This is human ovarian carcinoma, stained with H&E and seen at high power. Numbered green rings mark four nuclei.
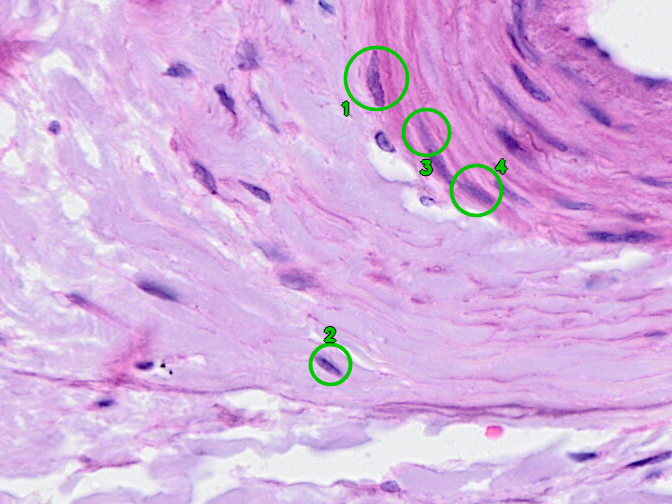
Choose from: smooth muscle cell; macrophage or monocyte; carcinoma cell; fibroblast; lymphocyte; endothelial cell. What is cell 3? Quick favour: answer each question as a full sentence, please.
The nucleus marked 3 is the nucleus of a smooth muscle cell.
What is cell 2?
Cell 2, as marked in the section, is a fibroblast.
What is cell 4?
Denoted by the label 4 in the section is a smooth muscle cell.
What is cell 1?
Numbered cell 1 is a smooth muscle cell in this tissue section.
